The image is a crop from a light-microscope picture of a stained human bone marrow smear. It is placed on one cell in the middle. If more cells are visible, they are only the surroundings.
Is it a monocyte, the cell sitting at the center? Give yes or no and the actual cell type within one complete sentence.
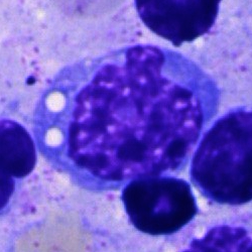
Yes, the cell that is in the middle is a monocyte.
